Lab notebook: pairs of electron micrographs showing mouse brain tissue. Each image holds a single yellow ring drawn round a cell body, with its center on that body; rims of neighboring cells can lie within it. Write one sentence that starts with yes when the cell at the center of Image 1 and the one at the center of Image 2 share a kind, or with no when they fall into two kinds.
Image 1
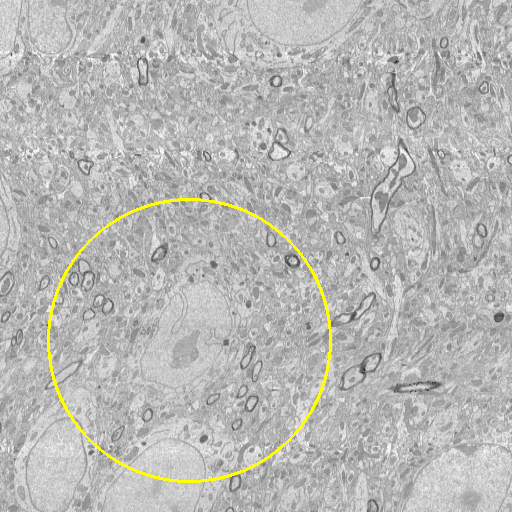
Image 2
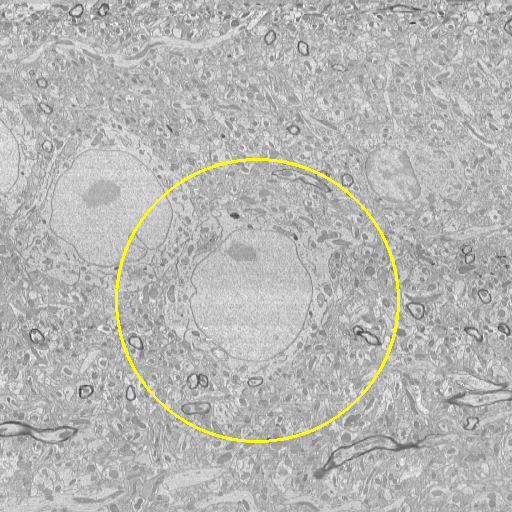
No, the centered cell in Image 1 and the centered cell in Image 2 are of two kinds.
